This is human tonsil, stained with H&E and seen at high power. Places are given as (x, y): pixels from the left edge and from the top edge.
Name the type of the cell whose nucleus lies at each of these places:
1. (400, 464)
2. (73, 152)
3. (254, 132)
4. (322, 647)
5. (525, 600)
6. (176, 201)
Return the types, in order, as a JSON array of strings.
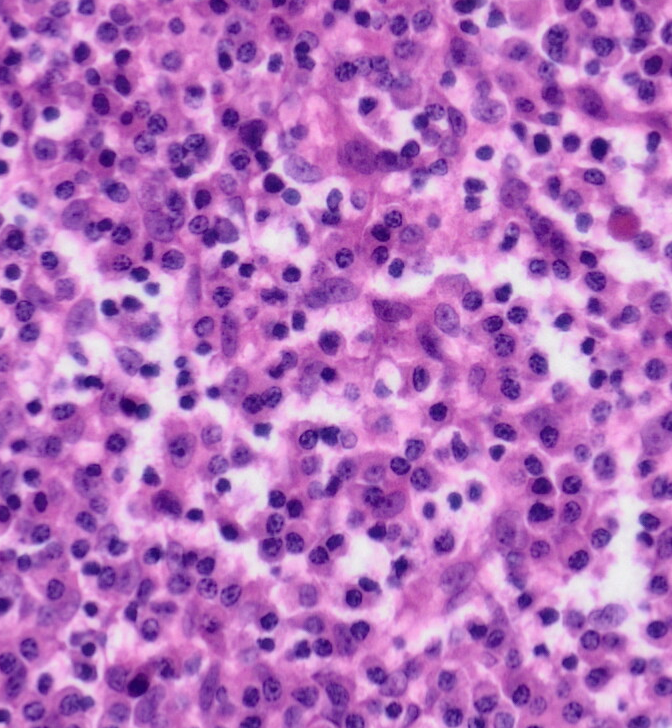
["plasma cell", "squamous epithelial cell", "squamous epithelial cell", "plasma cell", "plasma cell", "plasma cell"]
